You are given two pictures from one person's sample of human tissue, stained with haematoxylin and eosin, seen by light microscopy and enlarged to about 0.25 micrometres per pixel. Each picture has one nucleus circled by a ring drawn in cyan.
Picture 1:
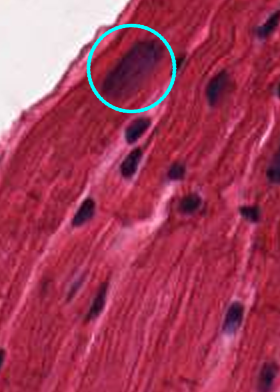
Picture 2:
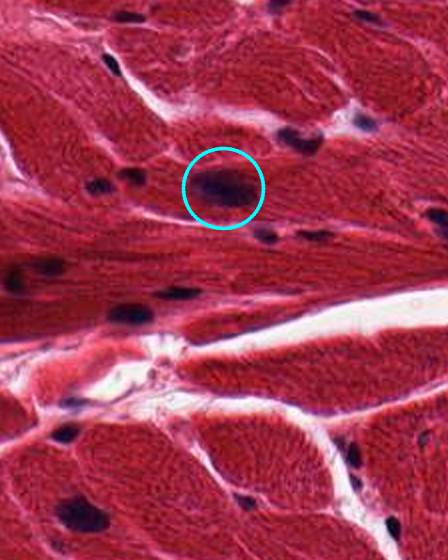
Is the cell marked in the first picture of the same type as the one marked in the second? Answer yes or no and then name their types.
Yes, both are cardiomyocytes.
